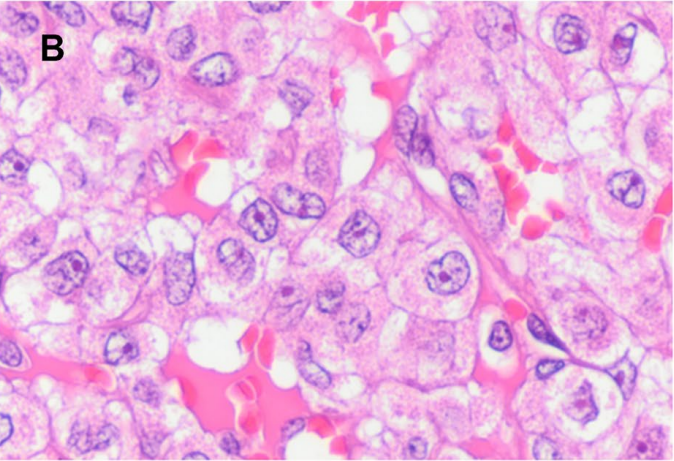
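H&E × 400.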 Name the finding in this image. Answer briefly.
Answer: Epithelioid high-grade neoplasm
